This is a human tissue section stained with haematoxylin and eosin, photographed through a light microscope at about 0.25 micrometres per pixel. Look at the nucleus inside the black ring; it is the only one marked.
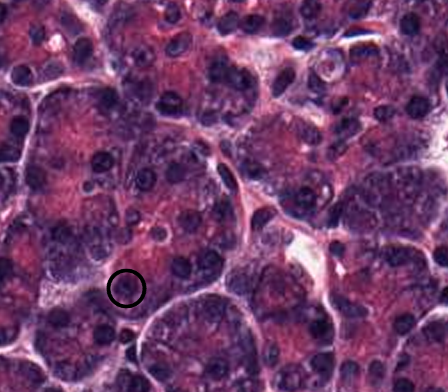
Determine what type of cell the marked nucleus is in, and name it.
pancreatic acinar cell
